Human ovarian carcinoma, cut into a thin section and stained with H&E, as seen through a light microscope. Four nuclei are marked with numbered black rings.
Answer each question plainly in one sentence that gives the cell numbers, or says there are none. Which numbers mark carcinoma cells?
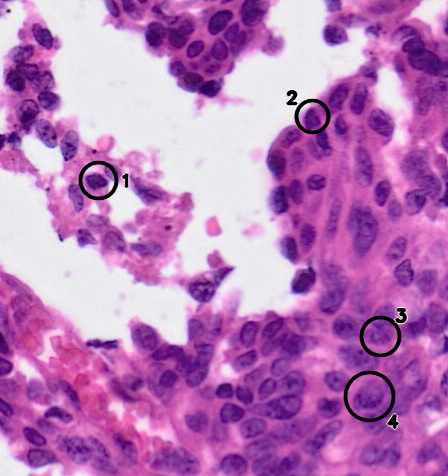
On this slide, the cells numbered 2, 3 and 4 are carcinoma cells.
